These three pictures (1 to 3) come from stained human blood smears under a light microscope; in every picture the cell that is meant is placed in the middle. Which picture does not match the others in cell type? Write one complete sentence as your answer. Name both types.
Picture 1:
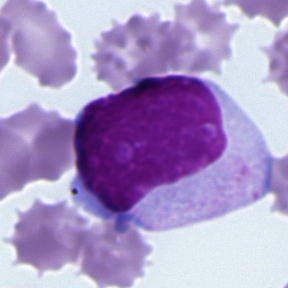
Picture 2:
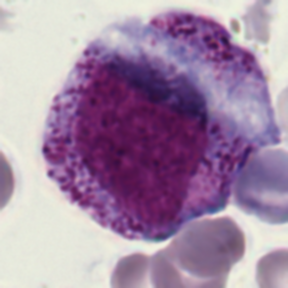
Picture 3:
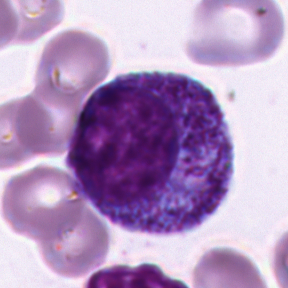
The different one is picture 1; it shows a myeloblast, whereas all the others show promyelocytes.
